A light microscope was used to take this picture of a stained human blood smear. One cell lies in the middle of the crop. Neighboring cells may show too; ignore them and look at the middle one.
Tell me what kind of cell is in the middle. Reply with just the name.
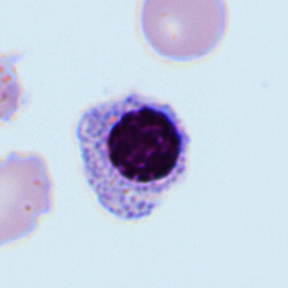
normoblast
